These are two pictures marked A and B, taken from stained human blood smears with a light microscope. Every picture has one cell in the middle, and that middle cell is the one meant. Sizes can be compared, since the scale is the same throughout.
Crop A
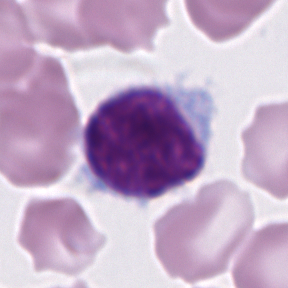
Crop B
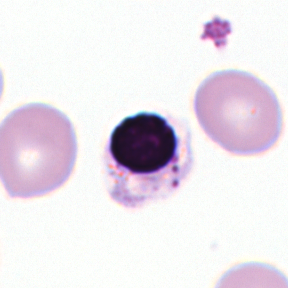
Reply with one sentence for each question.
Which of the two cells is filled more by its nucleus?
It is the cell in crop A that is filled more by its nucleus.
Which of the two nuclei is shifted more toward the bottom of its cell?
It is the nucleus in crop A that lies further toward the bottom of its cell.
